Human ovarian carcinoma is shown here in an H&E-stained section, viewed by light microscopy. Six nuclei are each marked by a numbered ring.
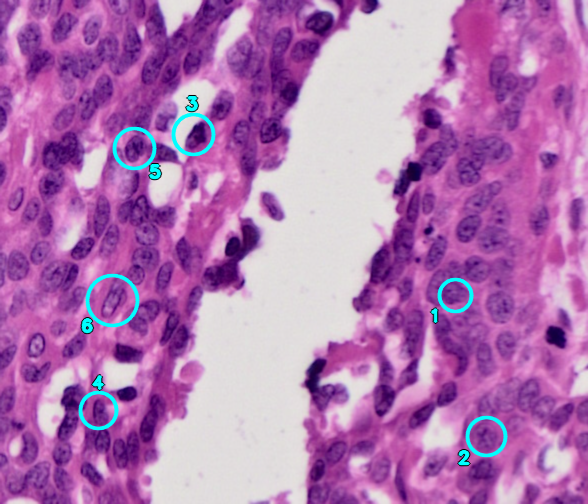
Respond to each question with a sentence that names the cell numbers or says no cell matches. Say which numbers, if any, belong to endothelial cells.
The only cell among those numbered to be an endothelial cell is number 6.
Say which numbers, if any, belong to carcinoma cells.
Identification: the cells with numbers 1, 2, 3 and 4 are carcinoma cells.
